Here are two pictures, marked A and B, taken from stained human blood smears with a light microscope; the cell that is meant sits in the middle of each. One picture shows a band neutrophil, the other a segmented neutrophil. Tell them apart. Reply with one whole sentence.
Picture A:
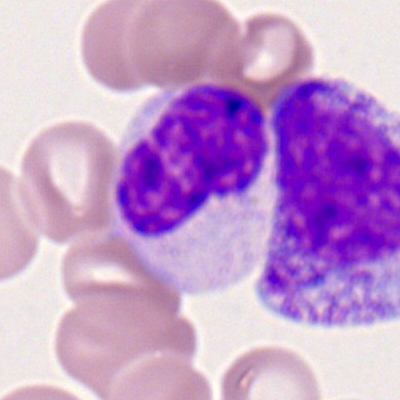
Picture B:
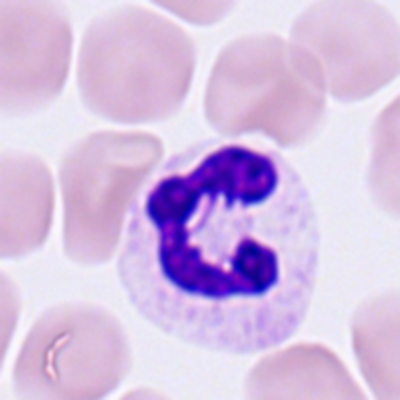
In picture A the cell is a band neutrophil; in picture B, a segmented neutrophil.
